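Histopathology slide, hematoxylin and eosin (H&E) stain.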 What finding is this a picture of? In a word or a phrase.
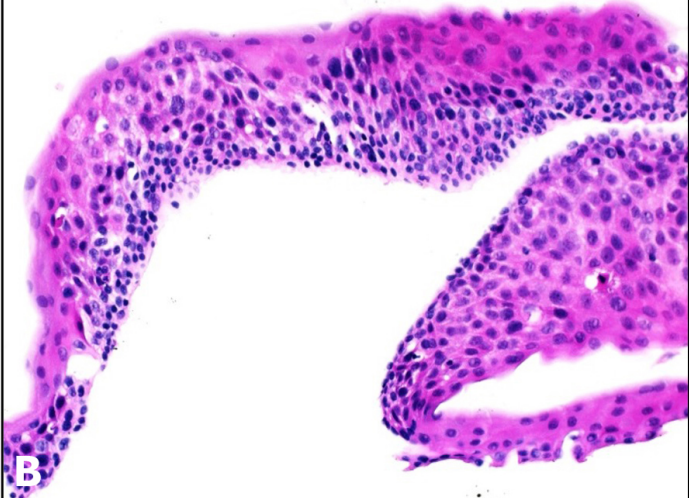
Dysplastic features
